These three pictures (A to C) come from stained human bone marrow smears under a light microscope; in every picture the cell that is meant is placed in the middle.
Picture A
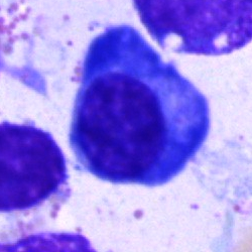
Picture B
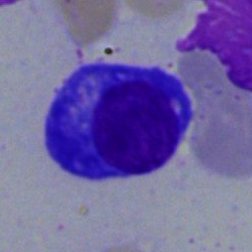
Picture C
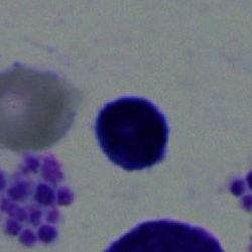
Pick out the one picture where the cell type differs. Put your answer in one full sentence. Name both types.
The different one is picture C; it shows a lymphocyte, whereas all the others show plasma cells.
